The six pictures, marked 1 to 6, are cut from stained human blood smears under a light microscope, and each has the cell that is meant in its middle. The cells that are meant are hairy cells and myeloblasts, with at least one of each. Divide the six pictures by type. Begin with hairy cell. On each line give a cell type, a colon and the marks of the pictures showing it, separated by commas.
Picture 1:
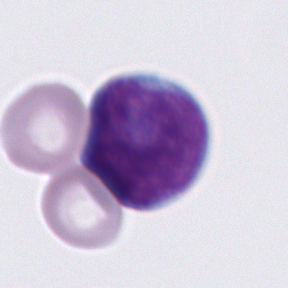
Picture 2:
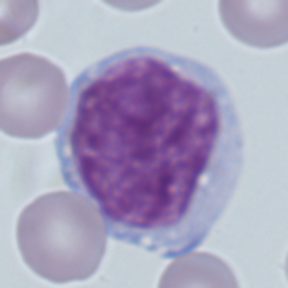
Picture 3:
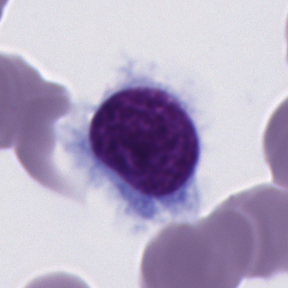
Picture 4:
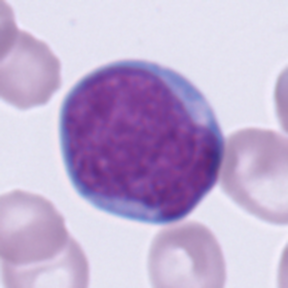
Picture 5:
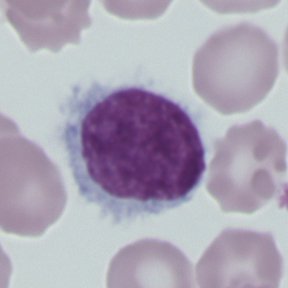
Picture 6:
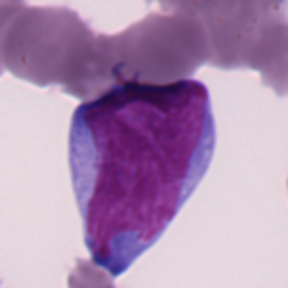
hairy cell: 3, 5
myeloblast: 1, 2, 4, 6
